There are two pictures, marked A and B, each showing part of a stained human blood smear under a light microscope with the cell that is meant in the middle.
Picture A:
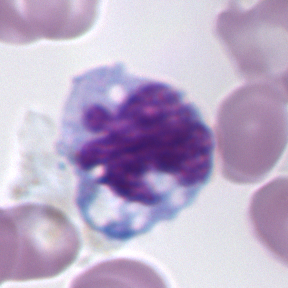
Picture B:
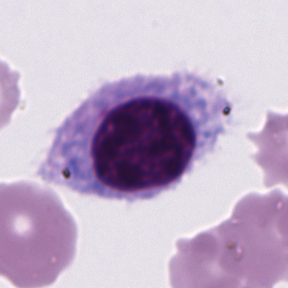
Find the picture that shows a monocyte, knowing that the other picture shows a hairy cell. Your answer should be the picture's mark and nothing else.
A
